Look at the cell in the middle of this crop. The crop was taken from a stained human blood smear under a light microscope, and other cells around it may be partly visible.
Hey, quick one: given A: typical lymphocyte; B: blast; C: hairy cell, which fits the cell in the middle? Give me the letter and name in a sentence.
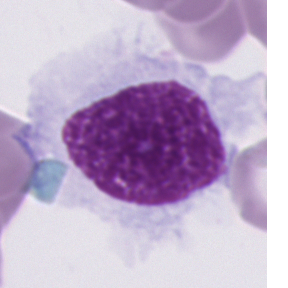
Here the right option is C, as the cell in the middle is a hairy cell.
